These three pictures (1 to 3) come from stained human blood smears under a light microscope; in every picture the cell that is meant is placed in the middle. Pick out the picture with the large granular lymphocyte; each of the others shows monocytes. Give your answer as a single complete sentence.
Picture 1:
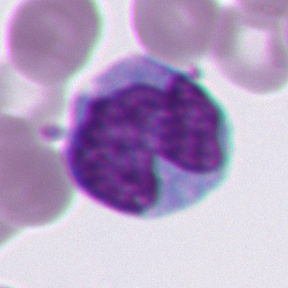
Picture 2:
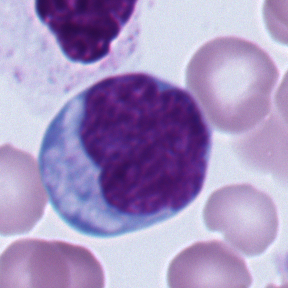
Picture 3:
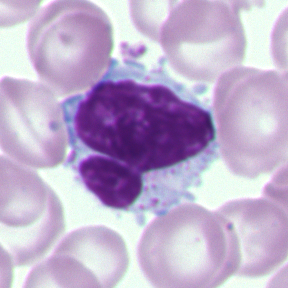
Picture 3 is the one that shows the large granular lymphocyte.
